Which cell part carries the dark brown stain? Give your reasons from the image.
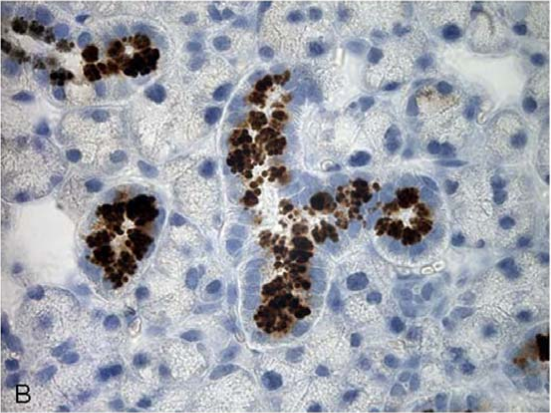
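The stain is coarse and dot-like, packed in the cytoplasm. Brown dots crowd the luminal side of the tubule cells.
Conclusion: granules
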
